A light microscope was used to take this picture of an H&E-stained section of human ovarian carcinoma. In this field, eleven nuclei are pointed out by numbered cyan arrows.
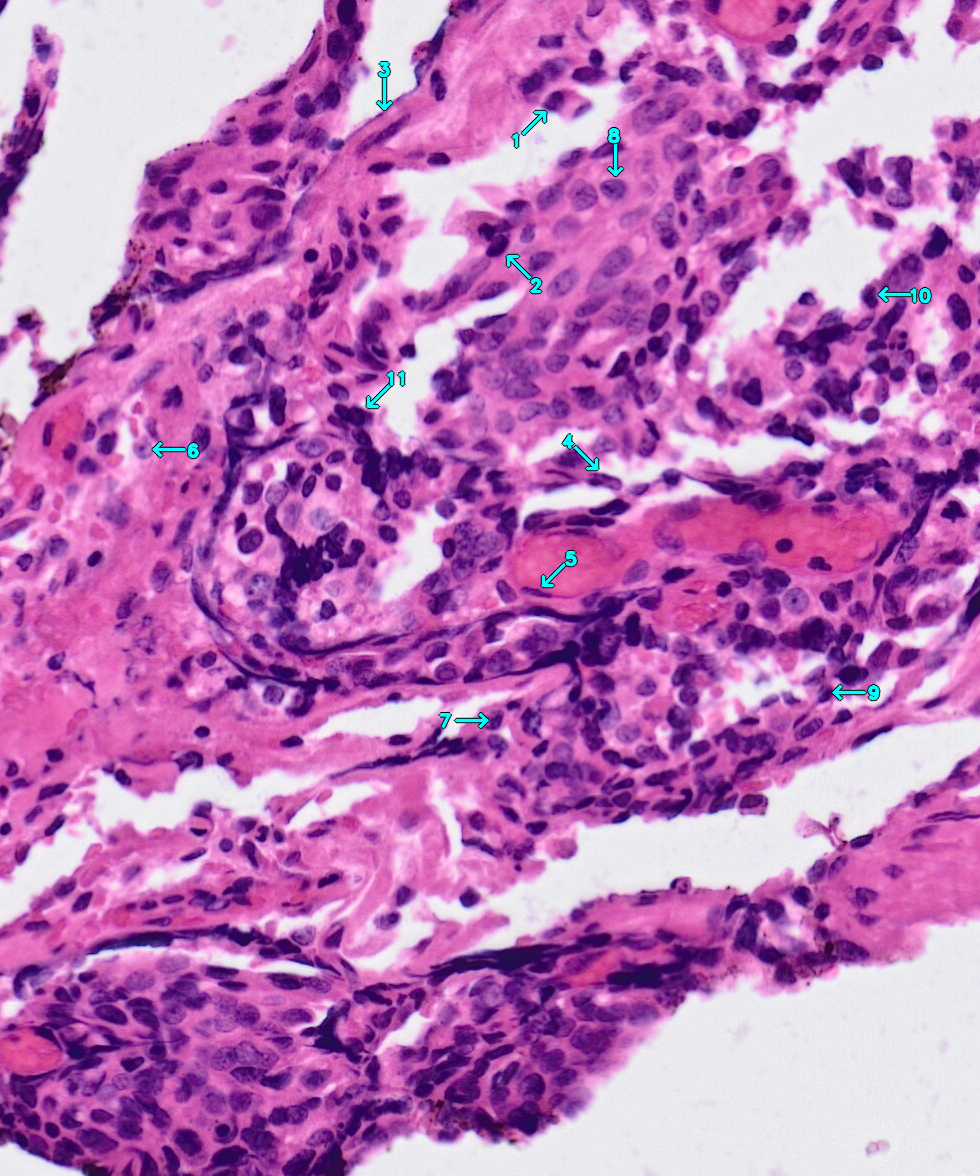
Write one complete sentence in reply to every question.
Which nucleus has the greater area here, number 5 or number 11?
It is nucleus 11, which covers about 1.5 times the area of nucleus 5.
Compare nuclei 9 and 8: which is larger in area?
Nucleus 8 is the larger one, covering about 2 times the area of nucleus 9.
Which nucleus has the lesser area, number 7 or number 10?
Nucleus 7 covers less area, with nucleus 10 about 1.5 times as large.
